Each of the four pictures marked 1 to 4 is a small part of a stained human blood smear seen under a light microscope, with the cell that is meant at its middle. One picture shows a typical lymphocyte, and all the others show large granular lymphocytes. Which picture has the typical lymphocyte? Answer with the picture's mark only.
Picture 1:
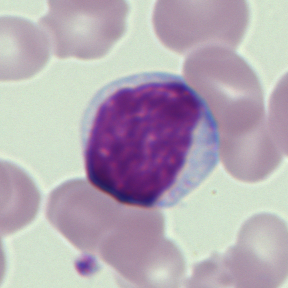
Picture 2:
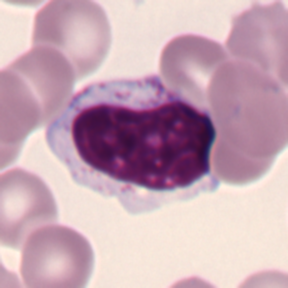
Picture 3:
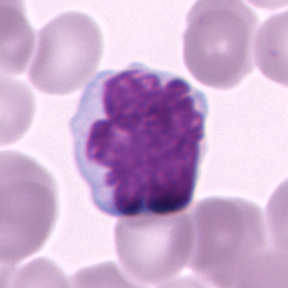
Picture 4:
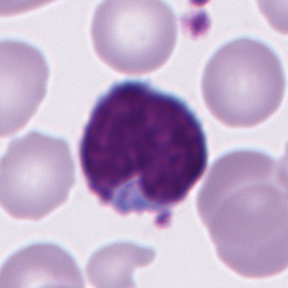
4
